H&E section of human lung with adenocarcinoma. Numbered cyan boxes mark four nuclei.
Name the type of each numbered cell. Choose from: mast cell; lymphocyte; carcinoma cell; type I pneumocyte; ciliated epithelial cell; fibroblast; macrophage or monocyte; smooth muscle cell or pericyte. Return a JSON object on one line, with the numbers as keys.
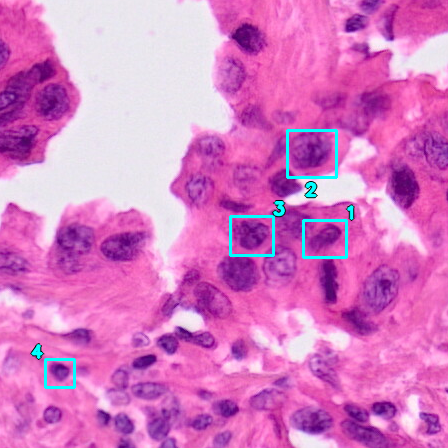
{"1": "carcinoma cell", "2": "carcinoma cell", "3": "carcinoma cell", "4": "lymphocyte"}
